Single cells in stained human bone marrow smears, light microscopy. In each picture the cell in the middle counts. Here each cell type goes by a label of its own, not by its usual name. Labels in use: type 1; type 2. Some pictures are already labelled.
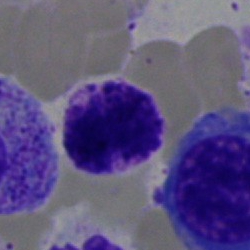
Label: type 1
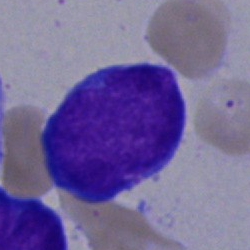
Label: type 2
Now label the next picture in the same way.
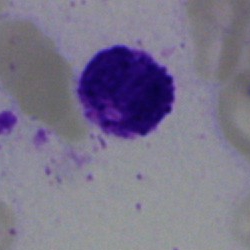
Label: type 1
